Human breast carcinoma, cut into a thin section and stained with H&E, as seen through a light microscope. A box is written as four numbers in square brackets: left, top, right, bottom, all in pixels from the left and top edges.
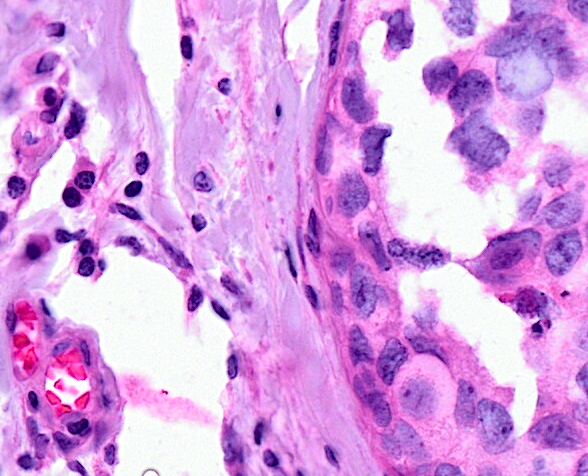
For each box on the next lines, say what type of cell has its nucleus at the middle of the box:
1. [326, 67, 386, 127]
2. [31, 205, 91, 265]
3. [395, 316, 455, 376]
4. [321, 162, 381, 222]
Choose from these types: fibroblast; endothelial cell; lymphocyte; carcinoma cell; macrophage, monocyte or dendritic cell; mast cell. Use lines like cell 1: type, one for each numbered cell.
cell 1: carcinoma cell
cell 2: lymphocyte
cell 3: carcinoma cell
cell 4: carcinoma cell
